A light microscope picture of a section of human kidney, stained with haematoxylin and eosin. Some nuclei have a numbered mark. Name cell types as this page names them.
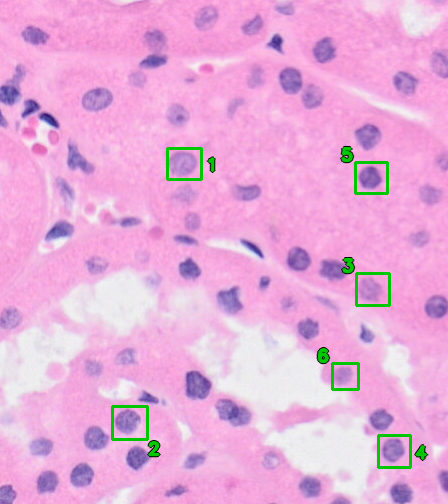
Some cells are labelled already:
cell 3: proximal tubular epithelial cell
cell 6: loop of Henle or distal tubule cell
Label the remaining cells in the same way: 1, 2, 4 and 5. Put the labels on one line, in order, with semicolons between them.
proximal tubular epithelial cell; loop of Henle or distal tubule cell; loop of Henle or distal tubule cell; proximal tubular epithelial cell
